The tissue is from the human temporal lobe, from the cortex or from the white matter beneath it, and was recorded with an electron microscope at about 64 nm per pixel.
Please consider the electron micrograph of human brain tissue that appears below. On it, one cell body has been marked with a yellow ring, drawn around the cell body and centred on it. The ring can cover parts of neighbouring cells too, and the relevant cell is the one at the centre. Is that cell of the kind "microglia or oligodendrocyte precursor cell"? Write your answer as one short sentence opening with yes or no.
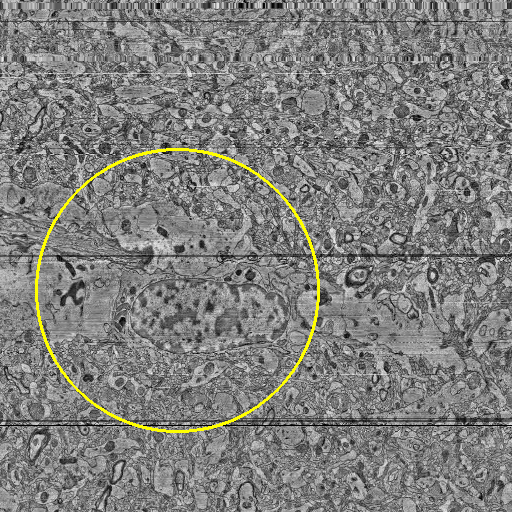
Yes, it is of that kind.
